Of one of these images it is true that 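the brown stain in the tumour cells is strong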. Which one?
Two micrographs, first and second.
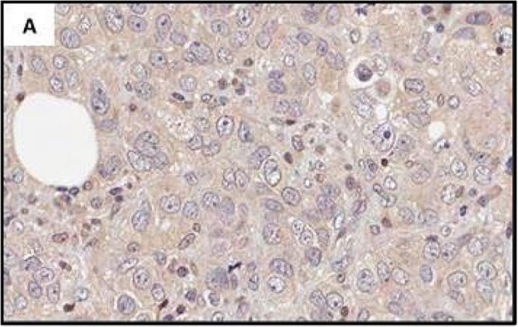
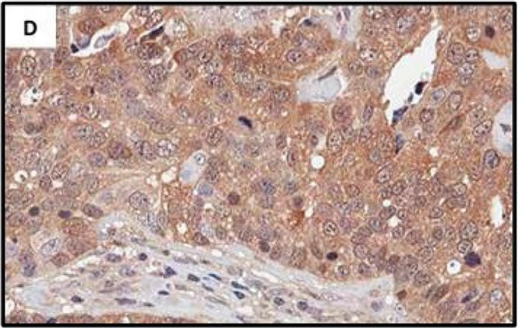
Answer: The second image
